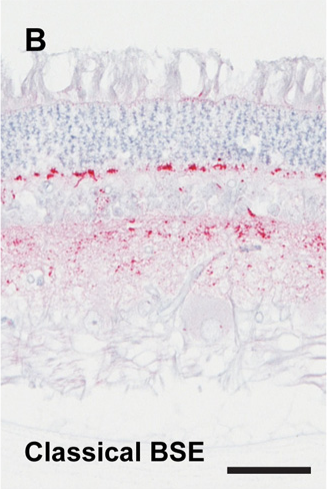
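This retina shows pale photoreceptor outer segments at the top above a dense band of small blue nuclei, then a looser nuclear layer and a wide synaptic layer with large ganglion cells beneath. The nuclear layers and the large ganglion cells are largely free of red.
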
